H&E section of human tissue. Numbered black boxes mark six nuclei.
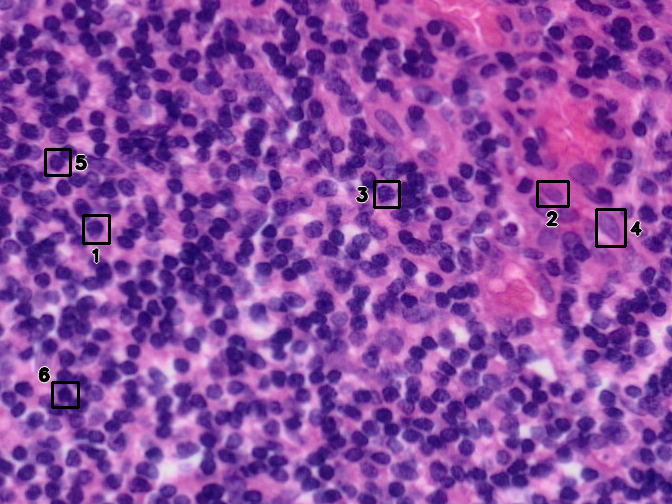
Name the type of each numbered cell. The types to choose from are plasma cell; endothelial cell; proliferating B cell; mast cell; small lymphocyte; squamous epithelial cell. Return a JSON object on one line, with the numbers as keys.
{"1": "small lymphocyte", "2": "endothelial cell", "3": "small lymphocyte", "4": "endothelial cell", "5": "small lymphocyte", "6": "small lymphocyte"}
